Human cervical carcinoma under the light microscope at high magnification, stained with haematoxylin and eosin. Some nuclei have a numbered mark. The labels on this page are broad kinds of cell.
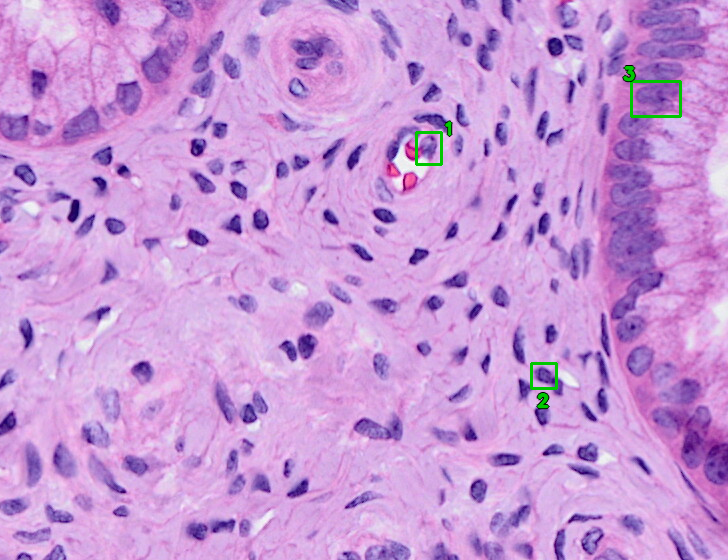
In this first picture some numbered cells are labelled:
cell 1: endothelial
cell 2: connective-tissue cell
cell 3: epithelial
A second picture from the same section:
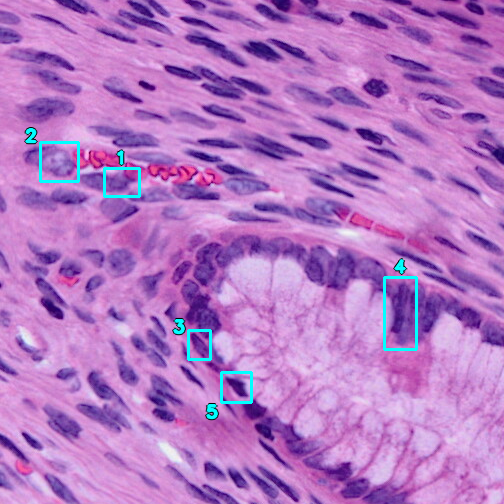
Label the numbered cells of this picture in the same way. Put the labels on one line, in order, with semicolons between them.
endothelial; endothelial; epithelial; epithelial; epithelial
